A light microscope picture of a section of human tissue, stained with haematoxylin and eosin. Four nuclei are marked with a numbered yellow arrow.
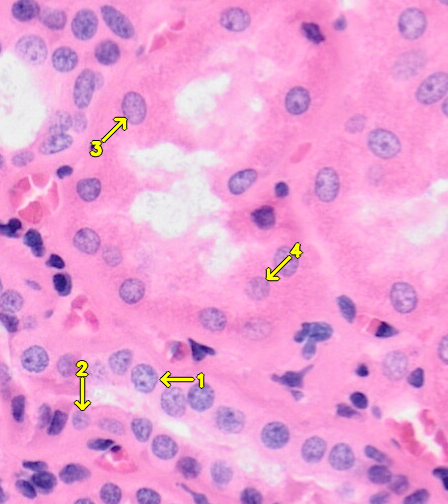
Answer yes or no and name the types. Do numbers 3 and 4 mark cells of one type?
Yes, both of cells 3 and 4 are proximal tubule cells.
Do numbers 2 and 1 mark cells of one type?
Yes, cells 2 and 1 are, both of them, collecting duct cells.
